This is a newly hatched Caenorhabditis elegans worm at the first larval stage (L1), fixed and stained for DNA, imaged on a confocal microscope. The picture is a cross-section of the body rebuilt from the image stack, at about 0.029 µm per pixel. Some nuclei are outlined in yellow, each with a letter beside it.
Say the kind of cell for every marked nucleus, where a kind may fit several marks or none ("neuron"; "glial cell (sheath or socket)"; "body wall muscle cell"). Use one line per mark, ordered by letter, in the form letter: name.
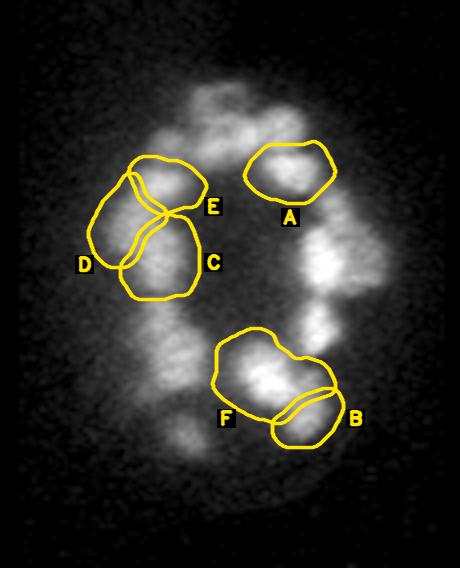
A: glial cell (sheath or socket)
B: body wall muscle cell
C: neuron
D: neuron
E: glial cell (sheath or socket)
F: neuron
